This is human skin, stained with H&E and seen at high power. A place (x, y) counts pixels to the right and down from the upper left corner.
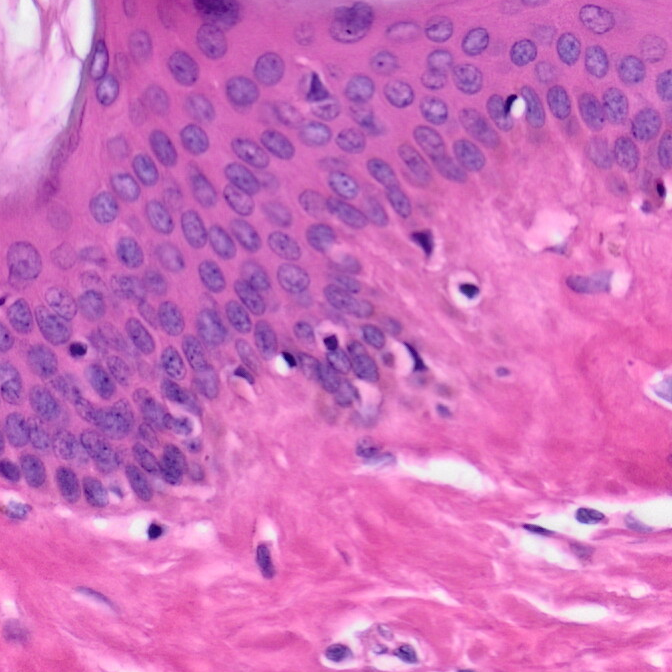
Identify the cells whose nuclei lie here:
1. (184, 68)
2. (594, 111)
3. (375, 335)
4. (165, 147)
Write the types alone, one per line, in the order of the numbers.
suprabasal keratinocyte
basal keratinocyte
basal keratinocyte
suprabasal keratinocyte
